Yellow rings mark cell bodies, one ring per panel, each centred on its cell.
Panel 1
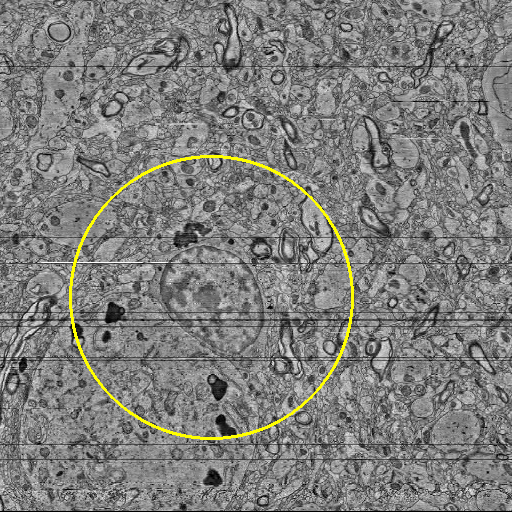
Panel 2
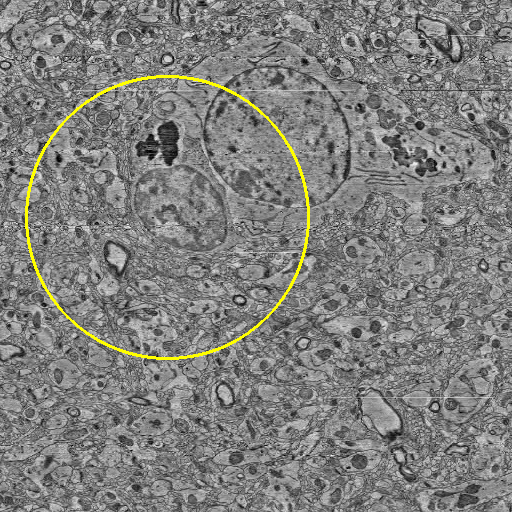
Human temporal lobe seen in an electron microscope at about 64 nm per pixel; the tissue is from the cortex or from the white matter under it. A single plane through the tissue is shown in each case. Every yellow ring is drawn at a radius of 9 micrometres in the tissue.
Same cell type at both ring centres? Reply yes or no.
yes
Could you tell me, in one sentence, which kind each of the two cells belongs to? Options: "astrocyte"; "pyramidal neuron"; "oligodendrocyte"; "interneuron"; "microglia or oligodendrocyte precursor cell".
Both rings mark an oligodendrocyte, one in each picture.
